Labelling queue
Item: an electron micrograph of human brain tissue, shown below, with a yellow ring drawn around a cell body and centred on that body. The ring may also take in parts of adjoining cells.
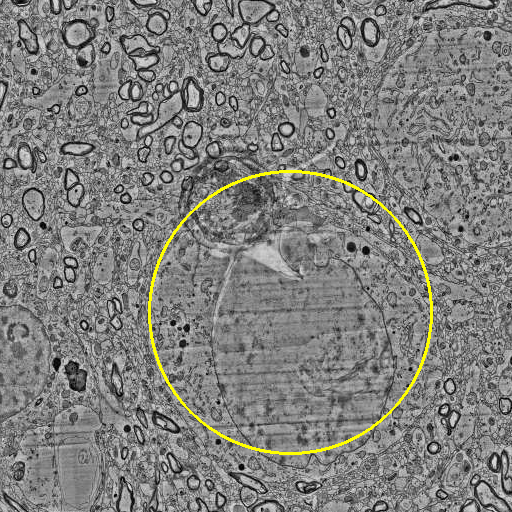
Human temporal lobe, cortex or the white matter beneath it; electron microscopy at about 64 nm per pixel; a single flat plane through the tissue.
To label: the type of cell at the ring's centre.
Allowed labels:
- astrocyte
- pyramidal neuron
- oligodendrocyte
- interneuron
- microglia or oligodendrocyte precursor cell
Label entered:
pyramidal neuron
